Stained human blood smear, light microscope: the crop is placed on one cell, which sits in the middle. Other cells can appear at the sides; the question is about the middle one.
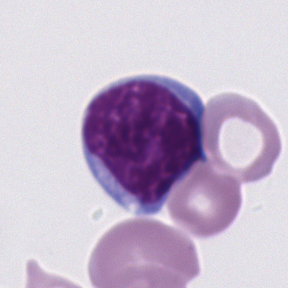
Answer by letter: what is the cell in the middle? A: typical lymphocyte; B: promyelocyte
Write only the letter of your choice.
A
